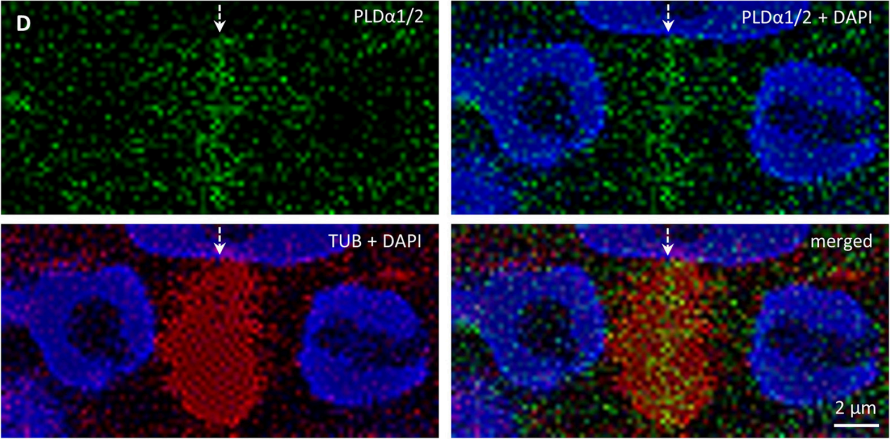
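Green dots are spread through the cytoplasm but line up densely along the middle of the array. In the merged view the green line overlies the red array, giving yellow tones at its centre. A further nucleus lies above, partly in view.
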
